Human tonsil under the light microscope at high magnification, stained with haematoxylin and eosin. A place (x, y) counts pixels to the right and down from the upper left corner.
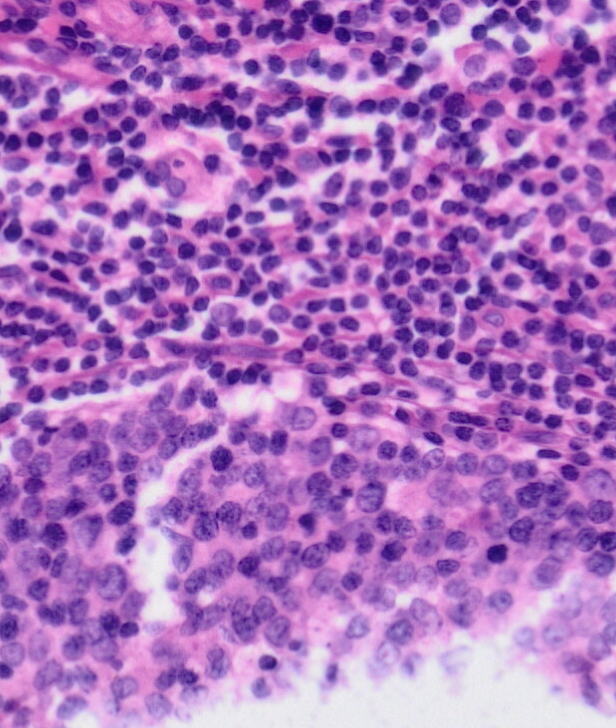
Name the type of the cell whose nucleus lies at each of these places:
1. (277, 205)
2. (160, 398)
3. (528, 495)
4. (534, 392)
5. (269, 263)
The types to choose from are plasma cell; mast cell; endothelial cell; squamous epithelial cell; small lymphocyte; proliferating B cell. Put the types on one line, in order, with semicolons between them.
small lymphocyte; proliferating B cell; proliferating B cell; small lymphocyte; small lymphocyte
